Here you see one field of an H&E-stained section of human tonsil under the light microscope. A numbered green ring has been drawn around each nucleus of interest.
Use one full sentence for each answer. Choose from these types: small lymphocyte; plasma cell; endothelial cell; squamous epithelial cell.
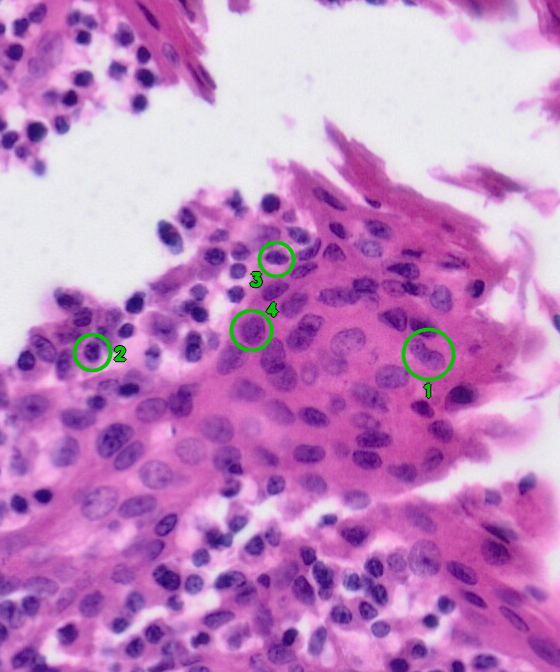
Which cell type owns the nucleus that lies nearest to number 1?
Closest to number 1 lies the nucleus of a squamous epithelial cell.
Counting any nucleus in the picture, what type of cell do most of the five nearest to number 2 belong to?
Plasma cells account for more than half of the five nuclei nearest to number 2.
